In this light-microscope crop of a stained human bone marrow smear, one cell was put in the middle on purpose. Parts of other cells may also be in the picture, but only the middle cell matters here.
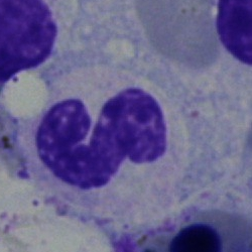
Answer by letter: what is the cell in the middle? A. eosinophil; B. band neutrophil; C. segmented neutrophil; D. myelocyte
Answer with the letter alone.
B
